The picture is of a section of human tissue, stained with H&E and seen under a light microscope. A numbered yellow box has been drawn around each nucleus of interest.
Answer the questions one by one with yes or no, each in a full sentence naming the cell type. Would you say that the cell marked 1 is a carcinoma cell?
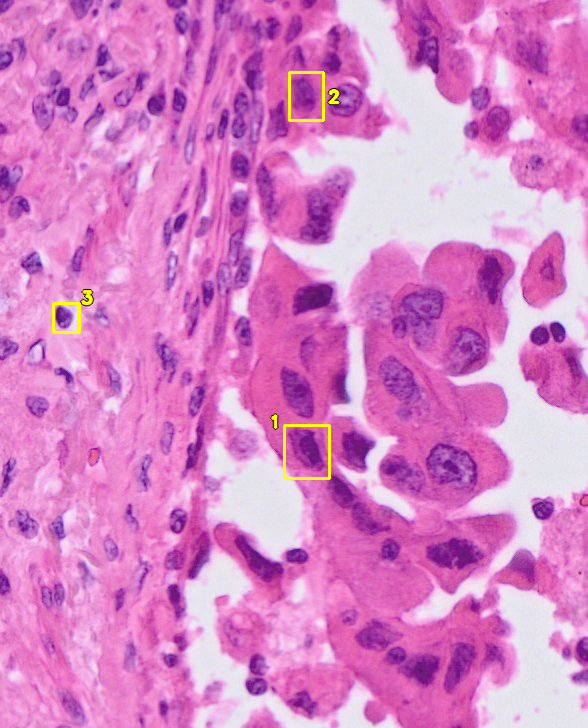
Yes, the cell indicated by number 1 is a carcinoma cell.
